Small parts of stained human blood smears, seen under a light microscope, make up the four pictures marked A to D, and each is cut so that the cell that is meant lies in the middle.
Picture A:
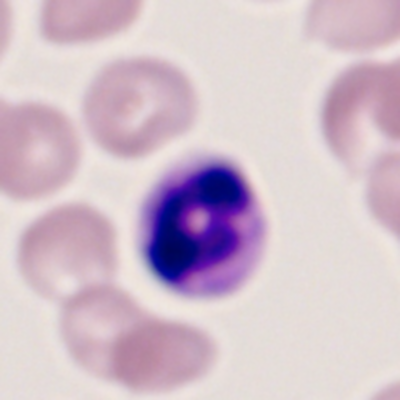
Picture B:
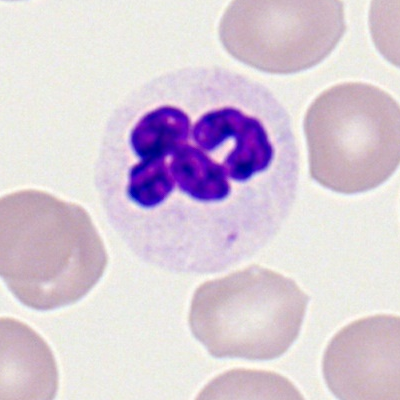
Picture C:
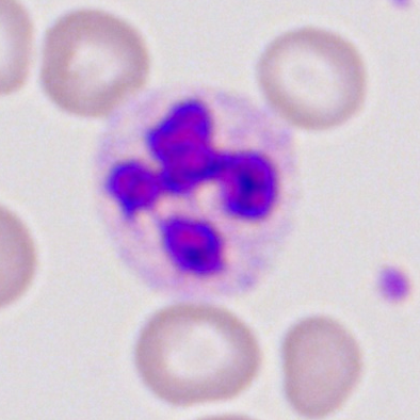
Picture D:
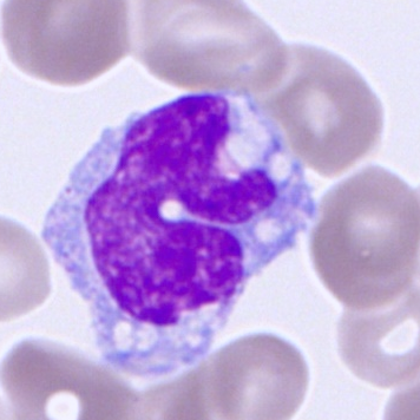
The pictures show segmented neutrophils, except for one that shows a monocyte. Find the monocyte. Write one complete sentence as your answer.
Picture D is the one that shows the monocyte.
